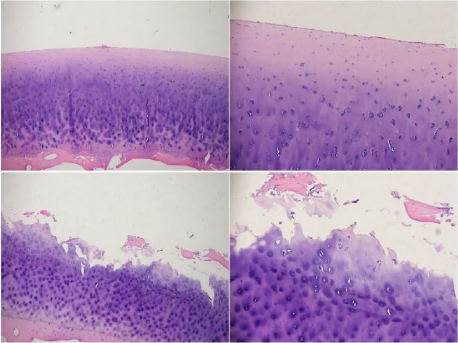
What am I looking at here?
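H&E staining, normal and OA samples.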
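Articular cartilage with chondrocytes lying in lacunae within an abundant purple-staining matrix that rests on pink-staining tissue at its base. In the upper images the surface is smooth and continuous and the cells are arranged in orderly layers, while in the lower images the surface is ragged and broken, with fragments of matrix lifted away from the cartilage.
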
